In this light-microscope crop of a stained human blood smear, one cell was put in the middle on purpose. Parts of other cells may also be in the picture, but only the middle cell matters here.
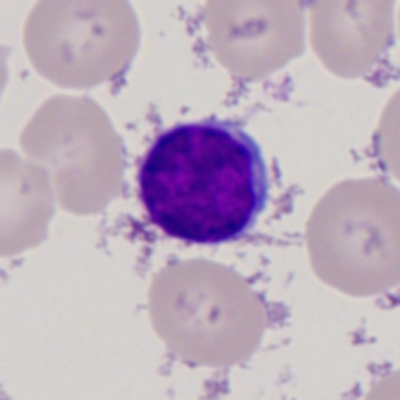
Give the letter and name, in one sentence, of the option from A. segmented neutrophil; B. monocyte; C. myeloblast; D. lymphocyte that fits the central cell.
Option D is the correct selection, for the cell at the centre is a lymphocyte.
